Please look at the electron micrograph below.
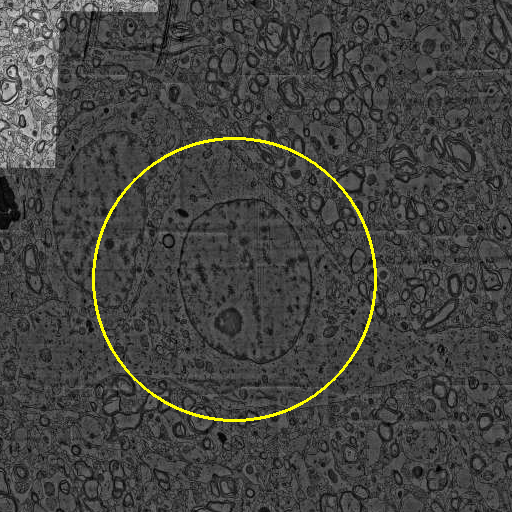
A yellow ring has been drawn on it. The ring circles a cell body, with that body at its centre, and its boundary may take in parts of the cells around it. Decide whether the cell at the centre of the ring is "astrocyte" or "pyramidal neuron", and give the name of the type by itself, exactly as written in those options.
pyramidal neuron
